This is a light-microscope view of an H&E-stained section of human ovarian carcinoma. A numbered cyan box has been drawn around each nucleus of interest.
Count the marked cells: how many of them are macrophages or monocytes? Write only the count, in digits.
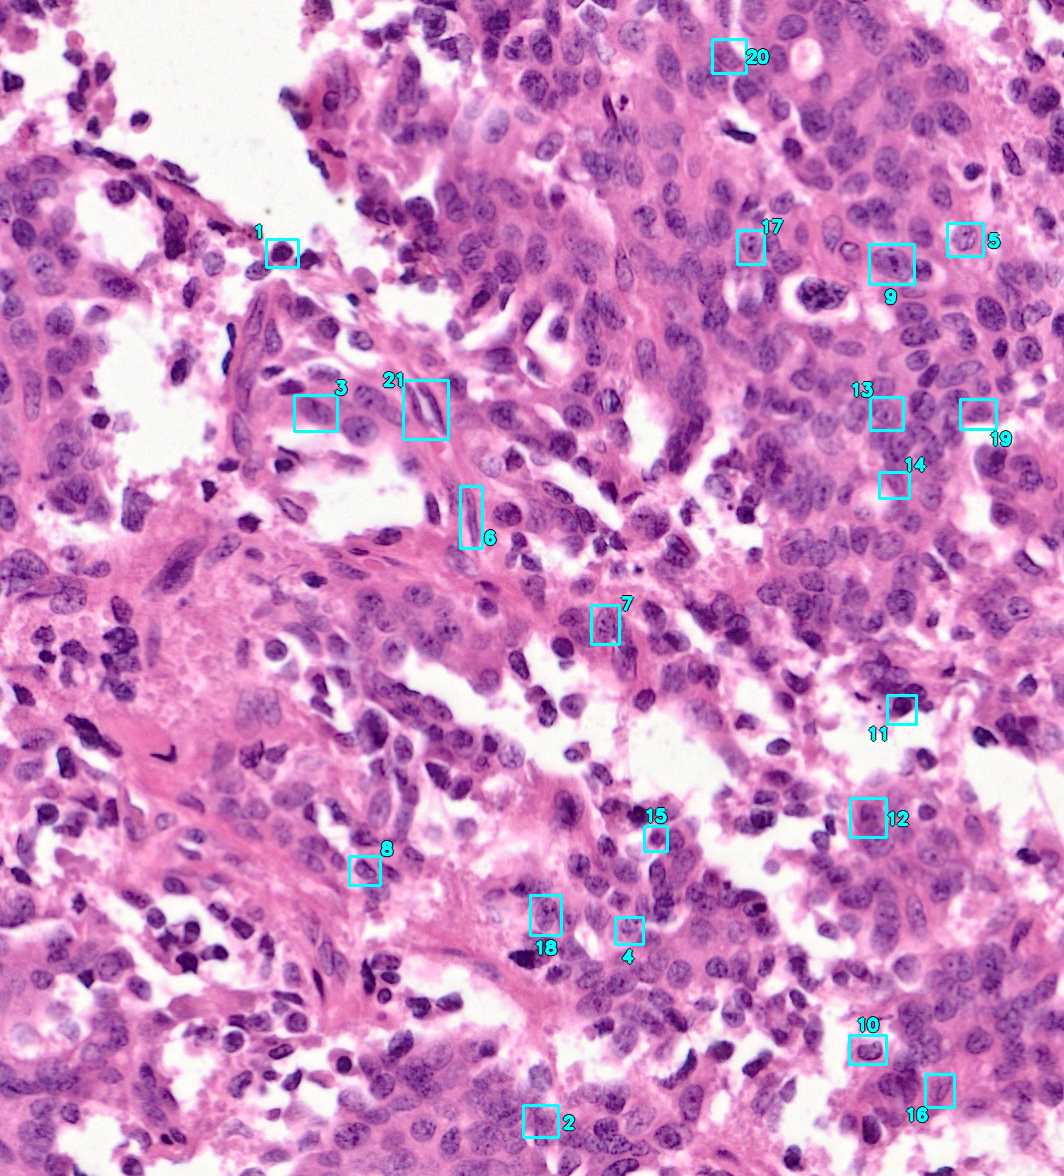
6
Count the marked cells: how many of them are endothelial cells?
4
